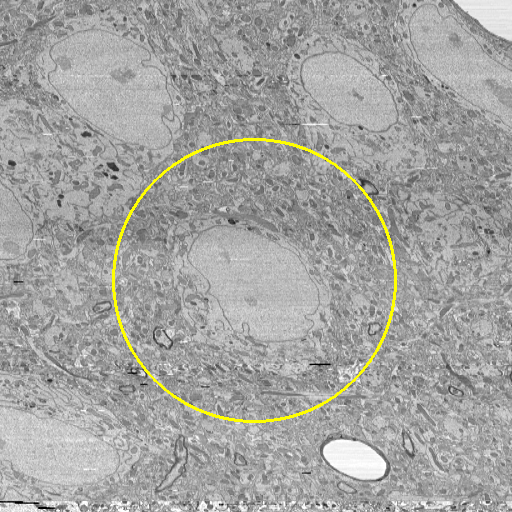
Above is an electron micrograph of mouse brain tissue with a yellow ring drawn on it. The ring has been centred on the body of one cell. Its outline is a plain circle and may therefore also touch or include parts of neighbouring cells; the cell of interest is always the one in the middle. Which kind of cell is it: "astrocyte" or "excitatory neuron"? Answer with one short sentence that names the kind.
The ring's central cell body is that of an excitatory neuron.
